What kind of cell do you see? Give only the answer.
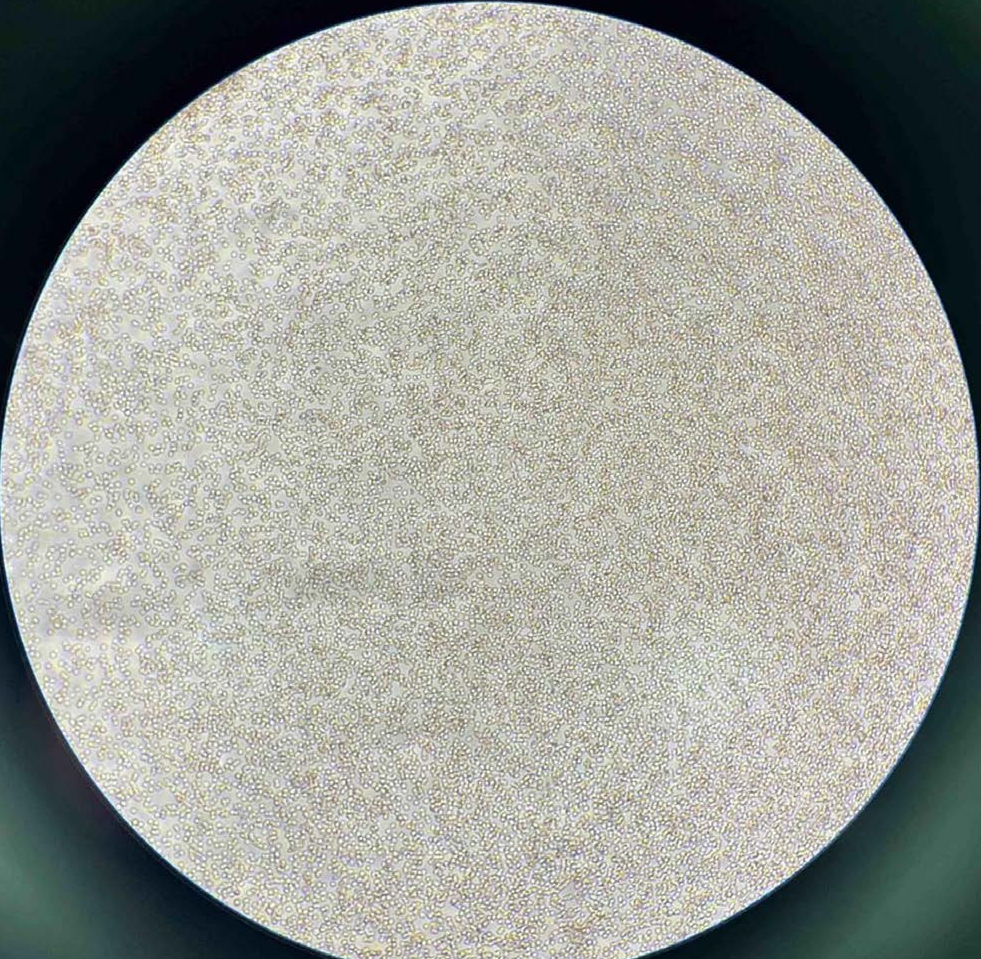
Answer: red blood cell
